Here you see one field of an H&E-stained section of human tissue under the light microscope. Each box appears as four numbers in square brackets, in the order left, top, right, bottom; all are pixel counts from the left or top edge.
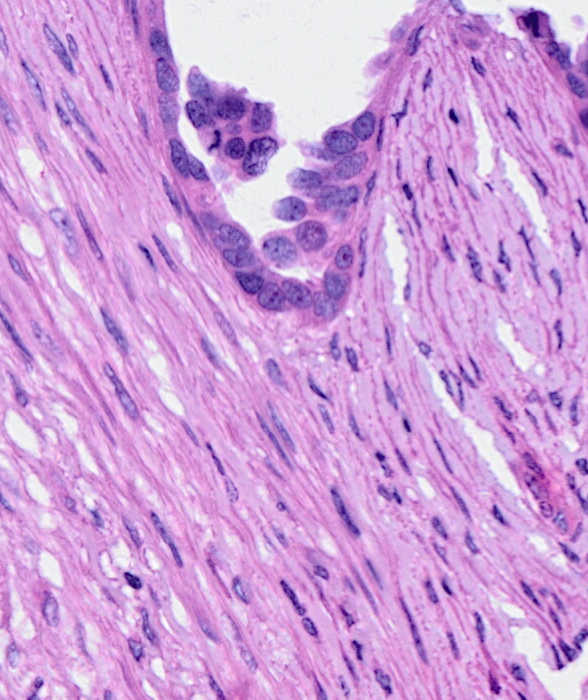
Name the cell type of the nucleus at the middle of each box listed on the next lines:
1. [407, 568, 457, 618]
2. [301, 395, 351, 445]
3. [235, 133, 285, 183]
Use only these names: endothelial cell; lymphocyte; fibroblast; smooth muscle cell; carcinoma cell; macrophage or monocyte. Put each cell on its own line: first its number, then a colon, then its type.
1: fibroblast
2: fibroblast
3: carcinoma cell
